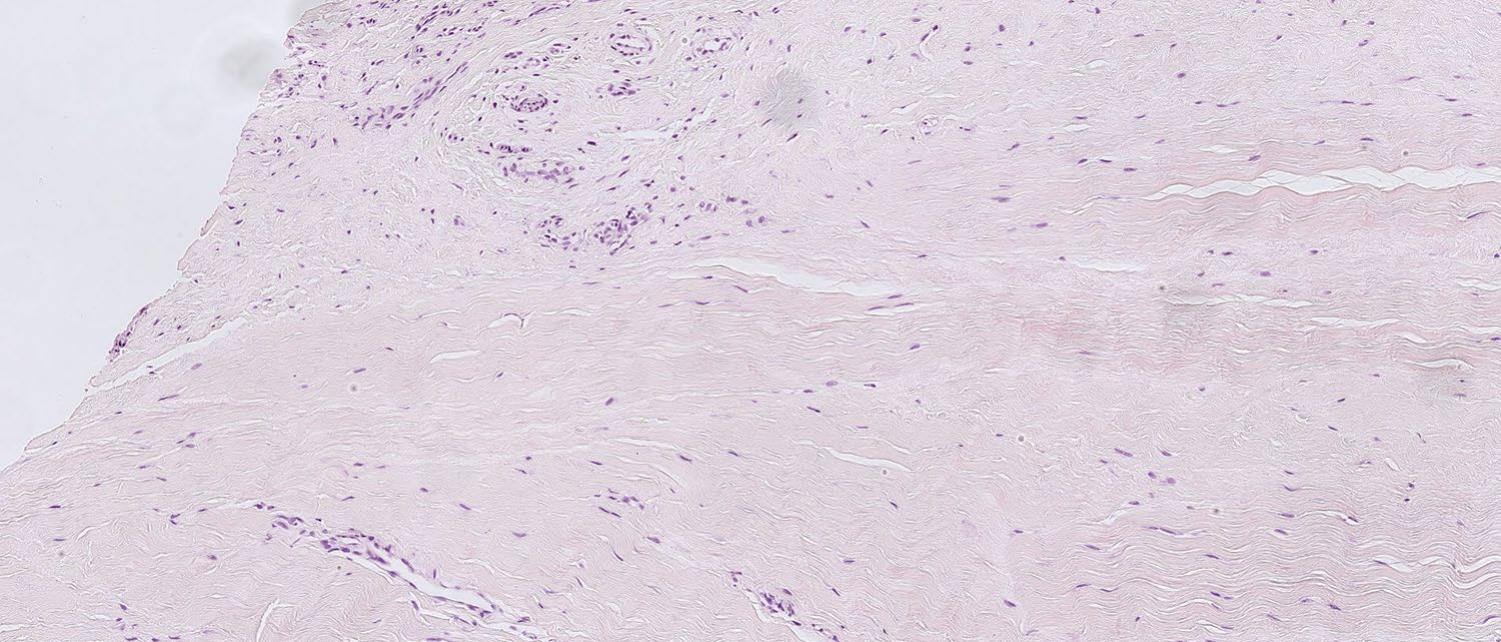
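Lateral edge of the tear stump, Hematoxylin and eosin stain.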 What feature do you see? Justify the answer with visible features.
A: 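In the upper left, several small round vessel profiles with crowded purple nuclei lie close together. Another small vessel runs obliquely near the lower left edge. So: several clusters of vessels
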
